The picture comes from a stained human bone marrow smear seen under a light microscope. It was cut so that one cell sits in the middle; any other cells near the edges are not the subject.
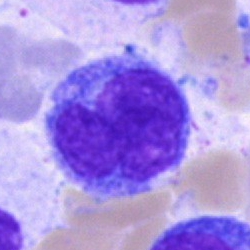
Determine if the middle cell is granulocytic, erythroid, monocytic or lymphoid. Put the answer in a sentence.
The cell found in the center of the crop is of the monocytic lineage.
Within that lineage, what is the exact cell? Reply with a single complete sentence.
Where the crop is centred, there is a monocyte.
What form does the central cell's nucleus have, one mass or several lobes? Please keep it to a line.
A single compact nucleus is present, shaped round, oval or like a kidney.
